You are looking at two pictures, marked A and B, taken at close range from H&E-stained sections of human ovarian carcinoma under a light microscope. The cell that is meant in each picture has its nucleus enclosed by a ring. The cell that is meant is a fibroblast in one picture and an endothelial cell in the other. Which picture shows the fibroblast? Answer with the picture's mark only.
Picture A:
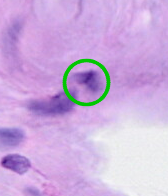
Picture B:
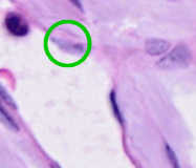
A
